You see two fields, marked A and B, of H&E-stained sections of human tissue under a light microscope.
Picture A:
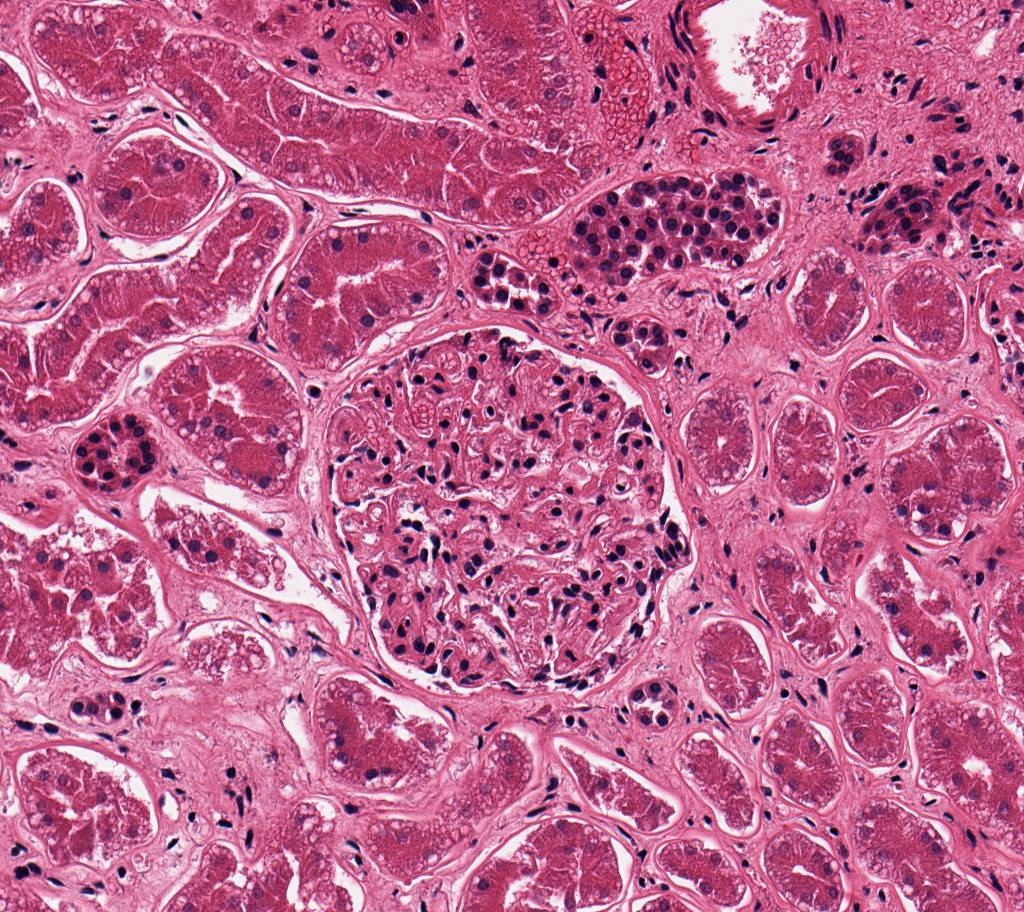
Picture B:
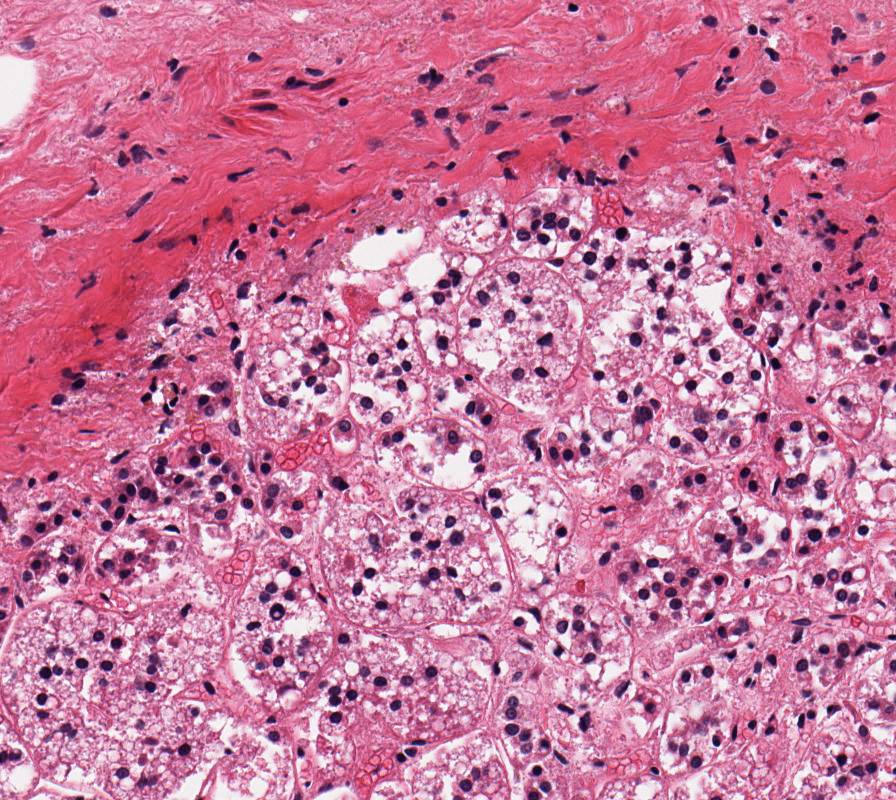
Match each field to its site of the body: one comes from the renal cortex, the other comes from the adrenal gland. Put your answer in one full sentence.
Picture A comes from the renal cortex and picture B comes from the adrenal gland.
